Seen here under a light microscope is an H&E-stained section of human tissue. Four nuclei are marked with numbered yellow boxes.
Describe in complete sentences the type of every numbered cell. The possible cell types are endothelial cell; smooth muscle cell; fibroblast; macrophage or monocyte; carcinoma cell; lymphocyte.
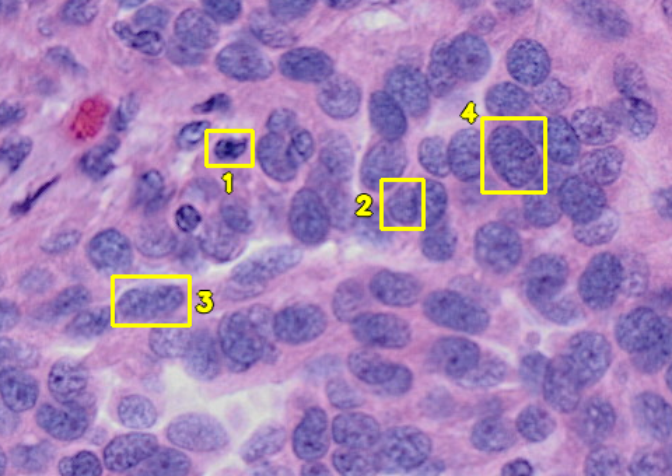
Cell 1 is a lymphocyte, cell 2 is a carcinoma cell, cell 3 is a carcinoma cell and cell 4 is a carcinoma cell.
